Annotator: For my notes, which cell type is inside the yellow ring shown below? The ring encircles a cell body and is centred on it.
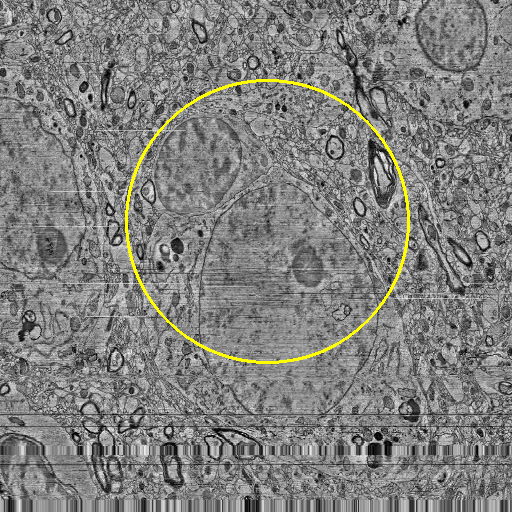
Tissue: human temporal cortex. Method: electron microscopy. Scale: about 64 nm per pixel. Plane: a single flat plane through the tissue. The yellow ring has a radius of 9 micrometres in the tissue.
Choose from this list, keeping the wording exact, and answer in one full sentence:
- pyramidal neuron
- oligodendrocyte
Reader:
At the centre of the yellow ring there is a pyramidal neuron, as shown in the picture.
